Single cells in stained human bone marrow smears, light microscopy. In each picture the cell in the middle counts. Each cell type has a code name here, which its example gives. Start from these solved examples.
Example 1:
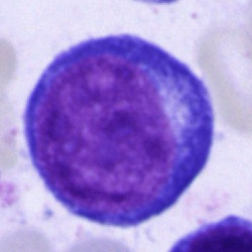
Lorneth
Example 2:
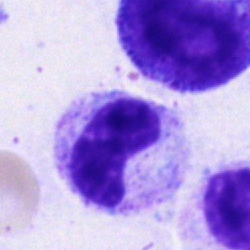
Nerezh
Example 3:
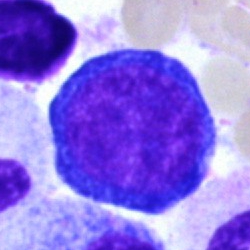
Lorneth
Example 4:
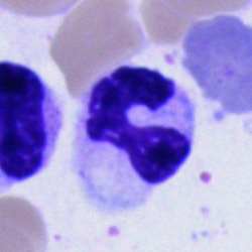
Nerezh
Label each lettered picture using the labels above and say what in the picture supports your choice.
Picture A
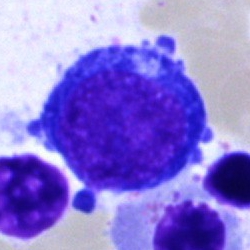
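Lorneth: The chromatin is finely stippled purple rather than coarsely clumped.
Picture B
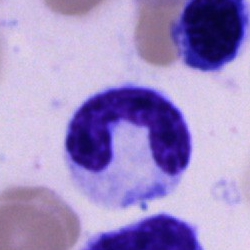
Nerezh: The nucleus is a thick curved band shaped like a horseshoe.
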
